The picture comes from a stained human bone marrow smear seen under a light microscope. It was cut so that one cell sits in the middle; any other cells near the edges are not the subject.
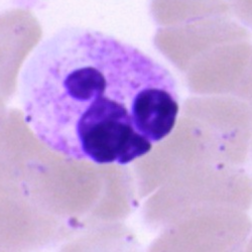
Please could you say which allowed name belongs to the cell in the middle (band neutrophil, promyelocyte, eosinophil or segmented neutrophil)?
segmented neutrophil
